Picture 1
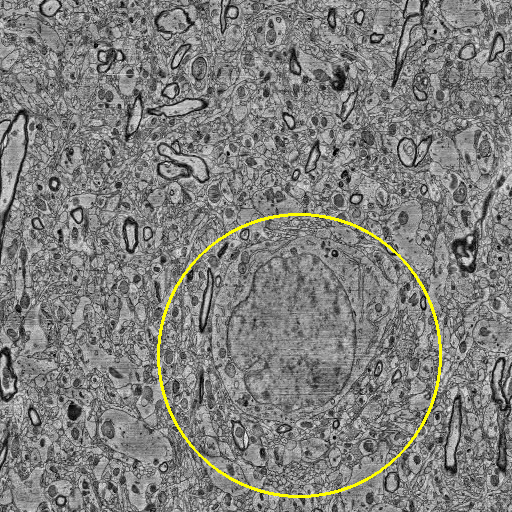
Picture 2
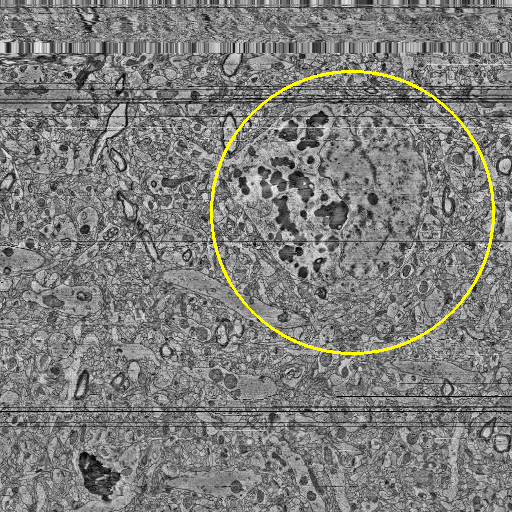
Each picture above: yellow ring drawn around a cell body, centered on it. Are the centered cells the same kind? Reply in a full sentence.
Yes, the two cells are the same kind.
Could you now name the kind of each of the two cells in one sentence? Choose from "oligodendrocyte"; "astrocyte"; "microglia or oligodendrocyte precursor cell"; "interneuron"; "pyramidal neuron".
In each picture the ringed cell is an interneuron.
